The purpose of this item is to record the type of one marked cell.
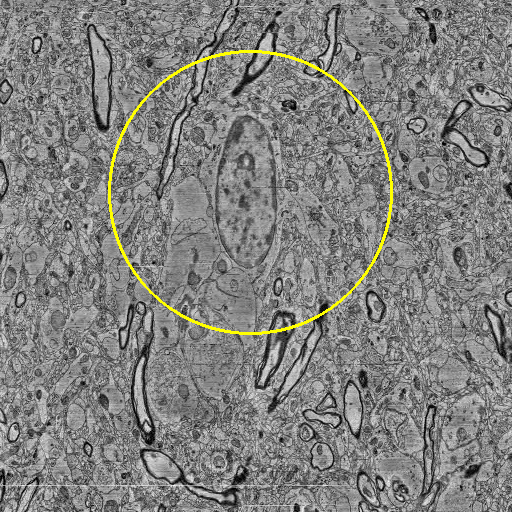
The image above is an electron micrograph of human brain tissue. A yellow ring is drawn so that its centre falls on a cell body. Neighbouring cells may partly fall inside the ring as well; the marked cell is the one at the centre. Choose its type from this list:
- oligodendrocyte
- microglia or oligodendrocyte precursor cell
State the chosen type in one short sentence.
What the ring marks here is a microglial cell or oligodendrocyte precursor cell.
